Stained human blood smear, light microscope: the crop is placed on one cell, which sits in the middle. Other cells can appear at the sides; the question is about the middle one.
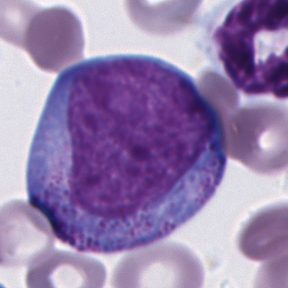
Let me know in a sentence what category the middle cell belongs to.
In the centre of this crop there is a promyelocyte.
